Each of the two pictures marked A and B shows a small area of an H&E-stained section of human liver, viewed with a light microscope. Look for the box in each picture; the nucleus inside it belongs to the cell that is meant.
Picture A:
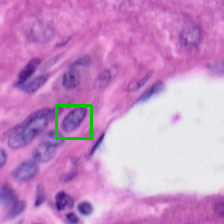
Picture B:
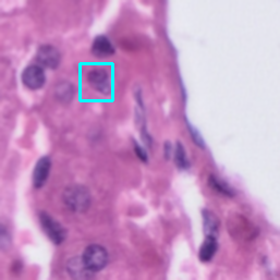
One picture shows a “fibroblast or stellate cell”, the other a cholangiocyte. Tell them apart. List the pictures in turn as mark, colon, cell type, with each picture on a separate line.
A: cholangiocyte
B: fibroblast or stellate cell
